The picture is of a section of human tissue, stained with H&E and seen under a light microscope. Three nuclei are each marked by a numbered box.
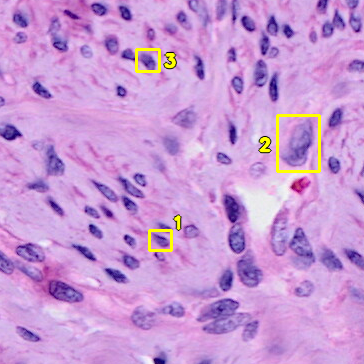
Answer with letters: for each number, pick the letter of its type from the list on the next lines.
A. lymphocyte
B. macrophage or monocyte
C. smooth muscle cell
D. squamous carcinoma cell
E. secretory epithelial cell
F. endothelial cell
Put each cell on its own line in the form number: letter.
1: C
2: F
3: C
